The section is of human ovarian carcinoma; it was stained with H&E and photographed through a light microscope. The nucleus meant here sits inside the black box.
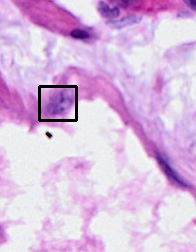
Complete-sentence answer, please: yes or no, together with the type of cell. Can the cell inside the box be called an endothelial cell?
Yes, classifying the cell inside the box as an endothelial cell is accurate.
